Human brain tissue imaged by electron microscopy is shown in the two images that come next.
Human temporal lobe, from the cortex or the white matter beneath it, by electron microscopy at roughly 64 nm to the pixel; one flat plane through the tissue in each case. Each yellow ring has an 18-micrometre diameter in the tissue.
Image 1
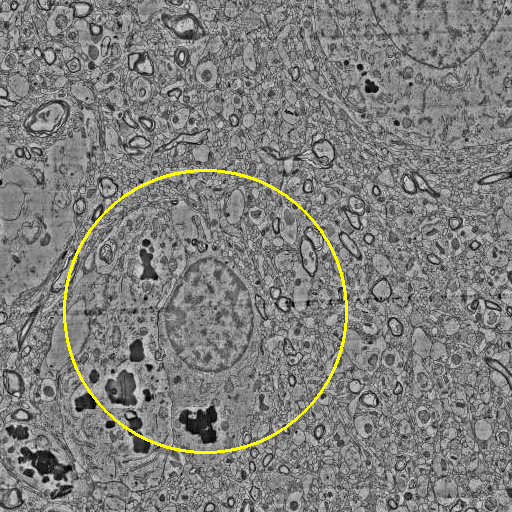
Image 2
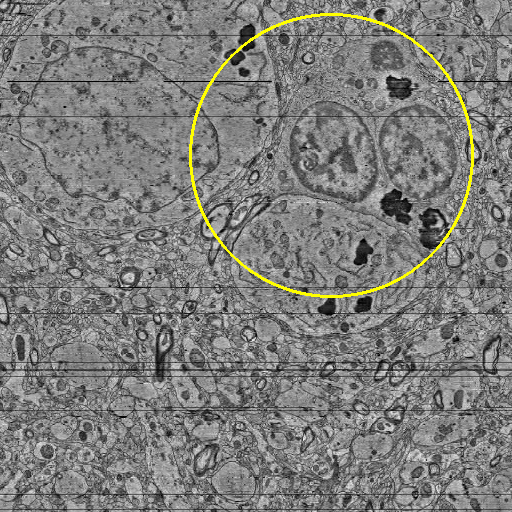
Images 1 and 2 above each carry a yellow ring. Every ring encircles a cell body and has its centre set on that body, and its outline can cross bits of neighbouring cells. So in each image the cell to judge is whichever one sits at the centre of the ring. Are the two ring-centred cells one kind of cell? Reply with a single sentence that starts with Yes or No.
Yes, in Image 1 and Image 2 the cells at the centres of their rings fall into one type.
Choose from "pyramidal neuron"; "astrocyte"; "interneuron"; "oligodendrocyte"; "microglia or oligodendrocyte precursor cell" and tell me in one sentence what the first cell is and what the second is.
The cell in the first picture is an oligodendrocyte, and so is the one in the second.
